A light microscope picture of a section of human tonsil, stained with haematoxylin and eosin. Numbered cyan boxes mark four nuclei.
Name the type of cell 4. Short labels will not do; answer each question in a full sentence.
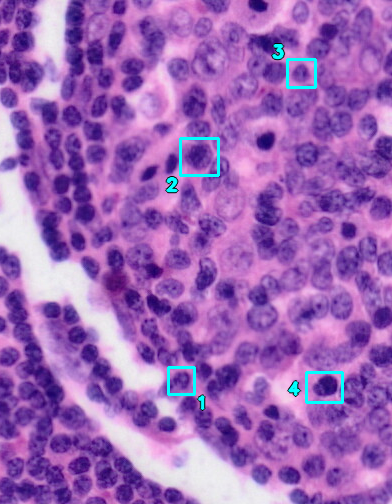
The cell marked with the number 4 is a proliferating B cell.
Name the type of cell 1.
Cell 1, as marked in the section, is a small lymphocyte.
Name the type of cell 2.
At number 2, the marked cell is a proliferating B cell.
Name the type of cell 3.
The expected answer is that cell 3 is a proliferating B cell.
